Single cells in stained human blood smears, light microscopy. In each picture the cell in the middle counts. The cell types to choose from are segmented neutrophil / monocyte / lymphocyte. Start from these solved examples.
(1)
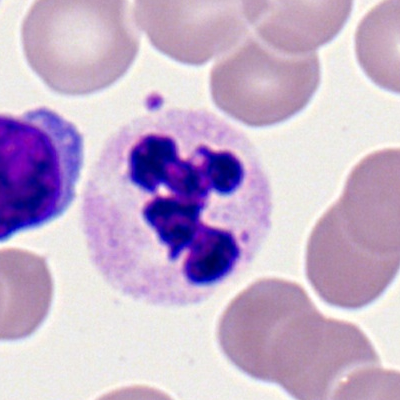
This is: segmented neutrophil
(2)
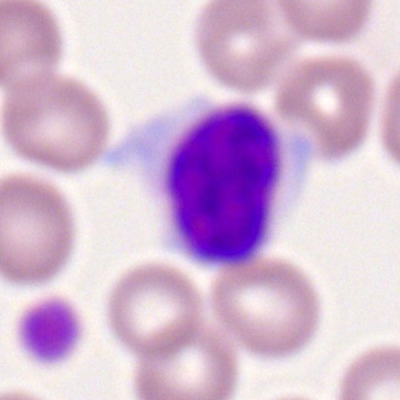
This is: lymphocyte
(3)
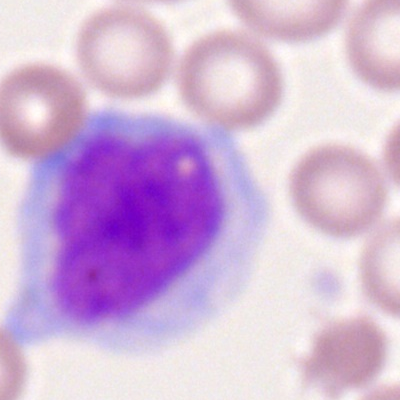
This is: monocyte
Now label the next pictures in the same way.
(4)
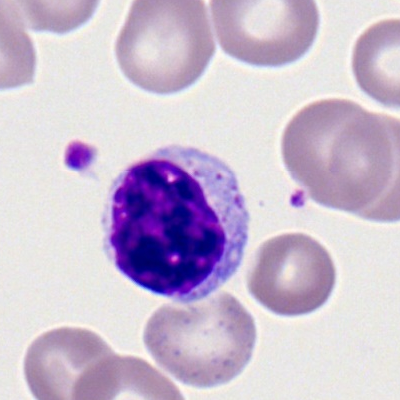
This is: lymphocyte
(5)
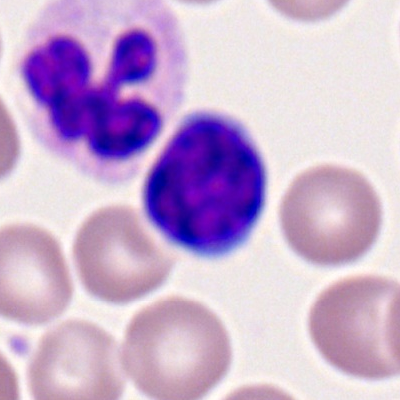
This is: lymphocyte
